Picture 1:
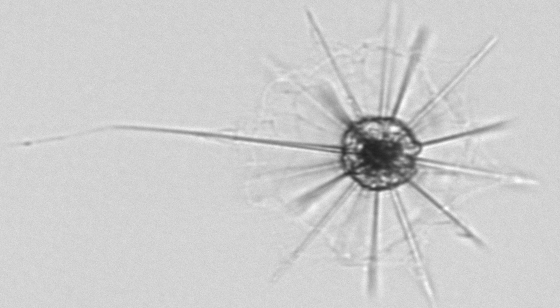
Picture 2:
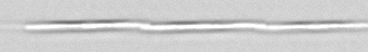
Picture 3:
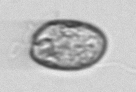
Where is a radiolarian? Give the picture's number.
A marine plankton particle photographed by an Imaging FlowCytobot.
1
